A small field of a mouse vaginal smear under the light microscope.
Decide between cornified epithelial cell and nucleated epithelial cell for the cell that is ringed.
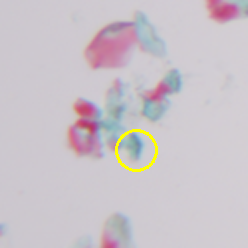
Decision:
I take the ringed cell for a cornified epithelial cell.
